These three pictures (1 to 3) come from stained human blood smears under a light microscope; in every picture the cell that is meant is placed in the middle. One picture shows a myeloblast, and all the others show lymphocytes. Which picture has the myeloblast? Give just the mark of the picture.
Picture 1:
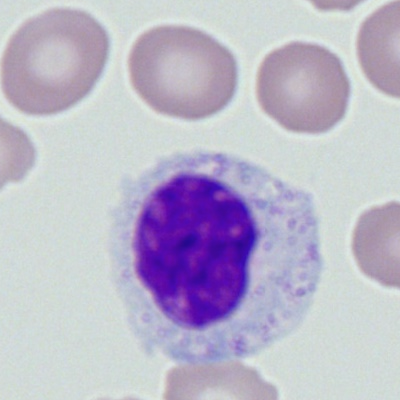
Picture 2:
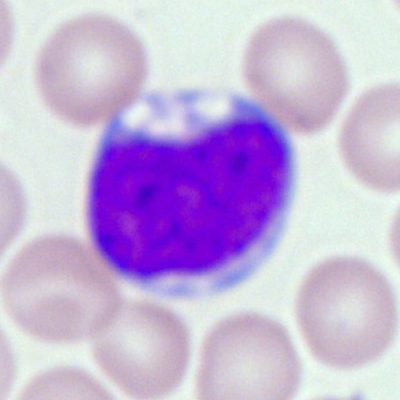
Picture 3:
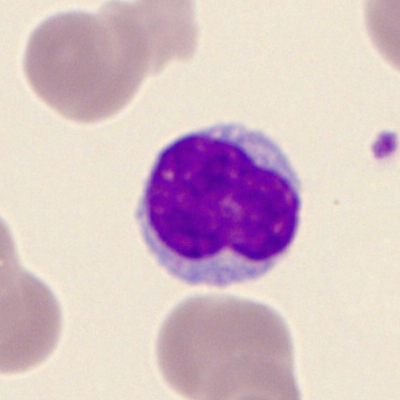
2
